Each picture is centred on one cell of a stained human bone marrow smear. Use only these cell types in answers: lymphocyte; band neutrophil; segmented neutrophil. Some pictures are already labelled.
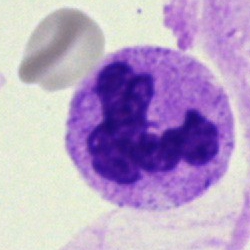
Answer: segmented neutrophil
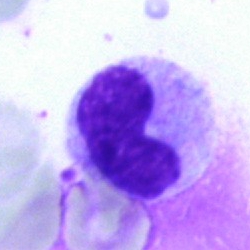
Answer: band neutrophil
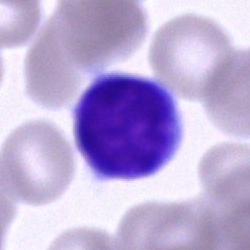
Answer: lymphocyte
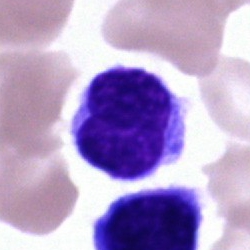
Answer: lymphocyte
